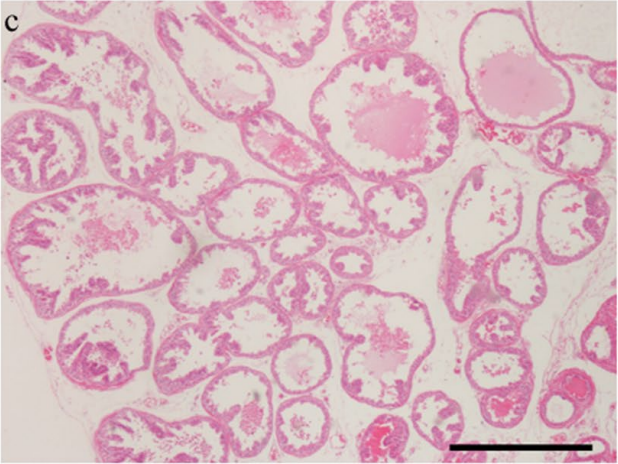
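Many lumens hold pale pink secretion, some with scattered darker material. The acini are separated by thin, loose, pale stroma with a few small vessels containing red blood cells.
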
